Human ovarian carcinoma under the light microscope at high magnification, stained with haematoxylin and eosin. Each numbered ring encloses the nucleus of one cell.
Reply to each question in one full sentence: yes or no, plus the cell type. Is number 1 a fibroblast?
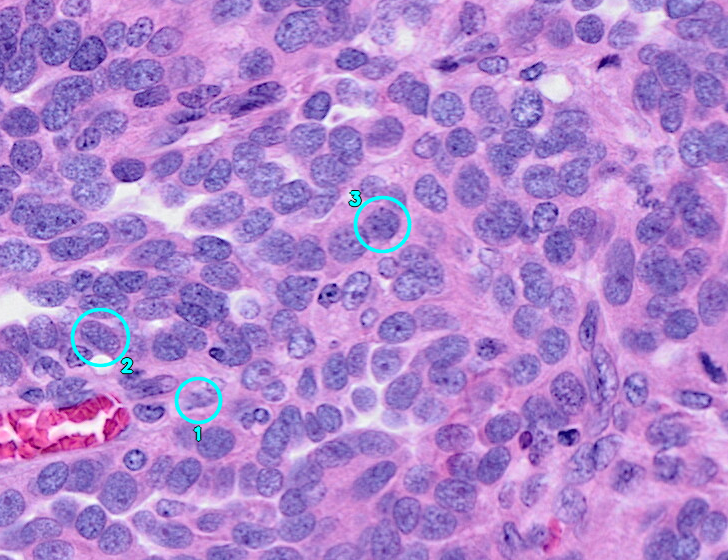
Yes, the cell carrying label 1 is a fibroblast.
